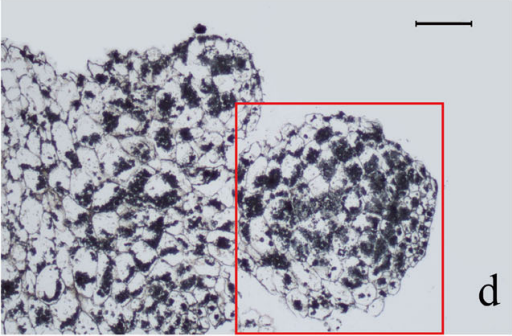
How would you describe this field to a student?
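Margin of plant tissue mass with a rounded protuberance growing out at the lower right. The protuberance is composed of tightly packed cells heavily filled with dark granular inclusions. The adjacent parent tissue consists of larger, thin-walled cells, many with clusters of dark granules and some clear vacuolated spaces. The outgrowth is bounded by a smooth surface layer of small cells and is broader than a mere bulge, approaching a rounded form.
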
